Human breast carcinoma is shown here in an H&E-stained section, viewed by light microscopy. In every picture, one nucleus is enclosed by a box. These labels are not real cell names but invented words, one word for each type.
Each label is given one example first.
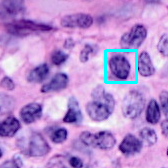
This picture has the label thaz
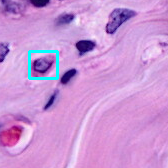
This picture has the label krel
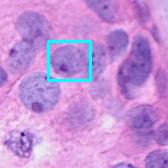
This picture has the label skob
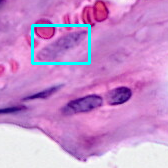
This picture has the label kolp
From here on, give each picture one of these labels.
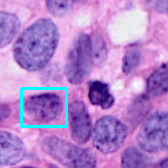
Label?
skob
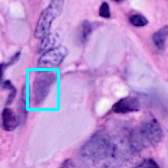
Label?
kolp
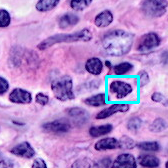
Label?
thaz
